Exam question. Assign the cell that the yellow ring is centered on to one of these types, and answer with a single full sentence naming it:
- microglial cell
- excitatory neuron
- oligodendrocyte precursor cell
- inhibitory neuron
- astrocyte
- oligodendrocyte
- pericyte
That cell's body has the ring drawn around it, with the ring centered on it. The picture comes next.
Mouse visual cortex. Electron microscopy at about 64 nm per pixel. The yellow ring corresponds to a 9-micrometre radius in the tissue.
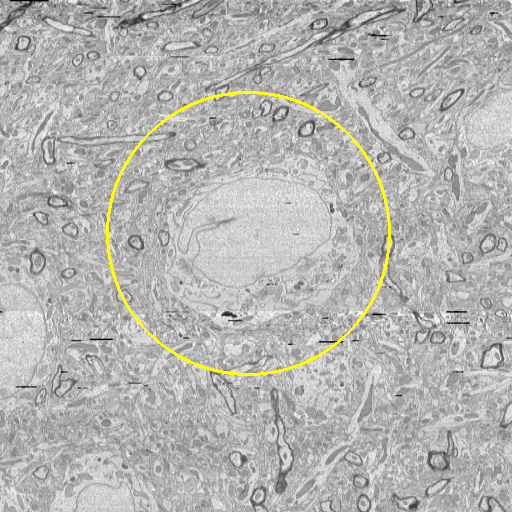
In the micrograph, the cell the yellow ring is centered on is an excitatory neuron.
